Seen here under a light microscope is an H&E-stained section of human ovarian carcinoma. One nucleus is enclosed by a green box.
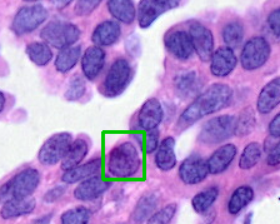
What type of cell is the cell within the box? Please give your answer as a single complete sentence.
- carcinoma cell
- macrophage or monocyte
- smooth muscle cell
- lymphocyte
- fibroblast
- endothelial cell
Microscopically, the cell within the box is categorized as a carcinoma cell.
